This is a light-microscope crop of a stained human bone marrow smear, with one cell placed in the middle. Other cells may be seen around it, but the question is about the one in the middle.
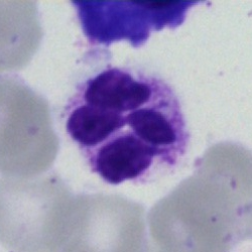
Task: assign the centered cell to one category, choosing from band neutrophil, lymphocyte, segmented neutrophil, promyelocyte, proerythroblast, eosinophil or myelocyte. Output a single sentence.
The cell in the middle of this crop is a segmented neutrophil.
